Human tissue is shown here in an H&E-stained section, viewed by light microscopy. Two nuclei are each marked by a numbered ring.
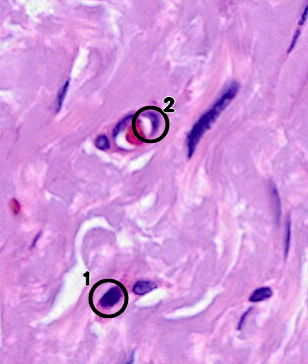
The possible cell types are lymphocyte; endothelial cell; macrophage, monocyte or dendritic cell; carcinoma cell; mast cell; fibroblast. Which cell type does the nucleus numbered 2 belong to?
endothelial cell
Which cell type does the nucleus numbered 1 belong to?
mast cell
